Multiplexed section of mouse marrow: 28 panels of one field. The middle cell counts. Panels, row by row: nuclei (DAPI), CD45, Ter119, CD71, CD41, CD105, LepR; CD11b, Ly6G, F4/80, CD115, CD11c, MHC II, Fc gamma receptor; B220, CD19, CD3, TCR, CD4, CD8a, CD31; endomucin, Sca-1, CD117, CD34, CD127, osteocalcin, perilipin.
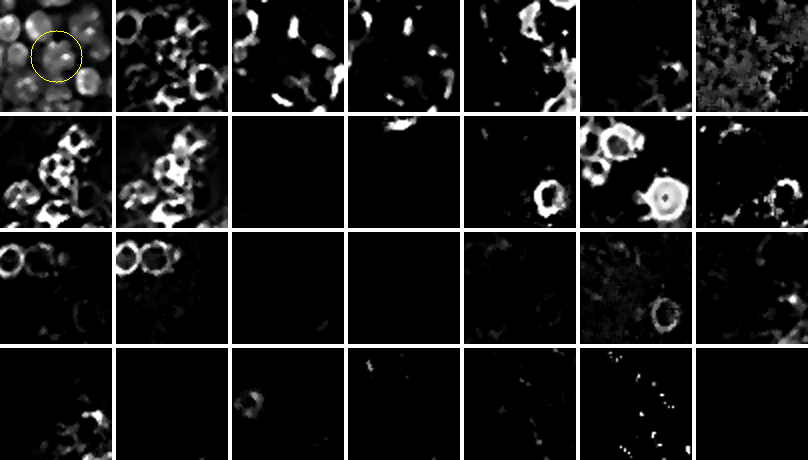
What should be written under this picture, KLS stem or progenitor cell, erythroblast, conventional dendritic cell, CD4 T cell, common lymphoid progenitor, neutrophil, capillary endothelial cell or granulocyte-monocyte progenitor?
neutrophil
